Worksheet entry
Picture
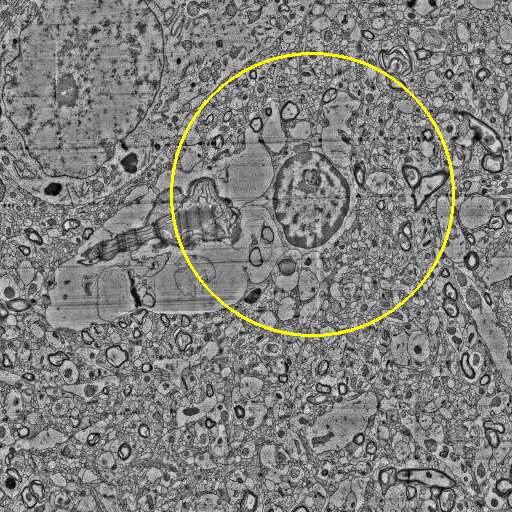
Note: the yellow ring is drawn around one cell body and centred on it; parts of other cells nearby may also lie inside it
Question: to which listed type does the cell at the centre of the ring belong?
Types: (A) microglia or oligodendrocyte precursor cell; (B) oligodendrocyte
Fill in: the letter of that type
A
